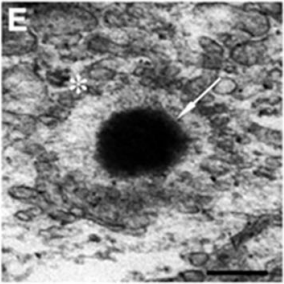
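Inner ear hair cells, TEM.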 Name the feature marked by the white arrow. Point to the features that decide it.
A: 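Ribbon density. The arrow ends on a round, very electron-dense dark body. The dark body is ringed by small round vesicle profiles.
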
